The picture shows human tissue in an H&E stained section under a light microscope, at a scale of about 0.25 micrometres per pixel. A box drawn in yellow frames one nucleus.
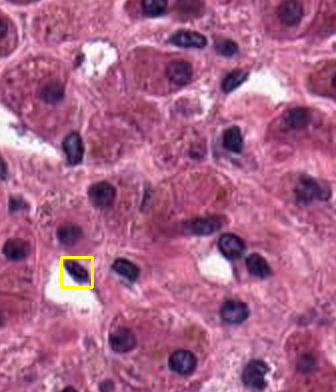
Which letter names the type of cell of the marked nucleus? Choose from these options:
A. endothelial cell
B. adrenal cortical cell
A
